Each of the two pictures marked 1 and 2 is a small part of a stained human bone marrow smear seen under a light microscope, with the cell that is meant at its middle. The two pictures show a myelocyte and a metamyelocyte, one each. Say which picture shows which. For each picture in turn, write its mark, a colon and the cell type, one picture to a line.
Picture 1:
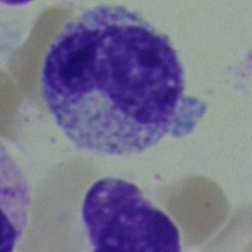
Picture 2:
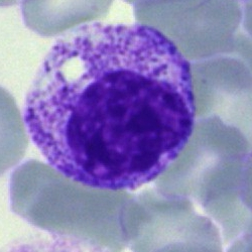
1: metamyelocyte
2: myelocyte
